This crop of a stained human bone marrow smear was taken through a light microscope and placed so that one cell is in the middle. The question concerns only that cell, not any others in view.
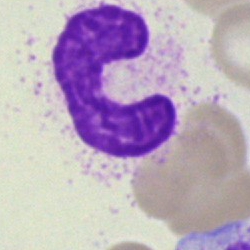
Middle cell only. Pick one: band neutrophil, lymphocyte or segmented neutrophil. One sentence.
The centrally positioned cell in the crop represents a band neutrophil.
